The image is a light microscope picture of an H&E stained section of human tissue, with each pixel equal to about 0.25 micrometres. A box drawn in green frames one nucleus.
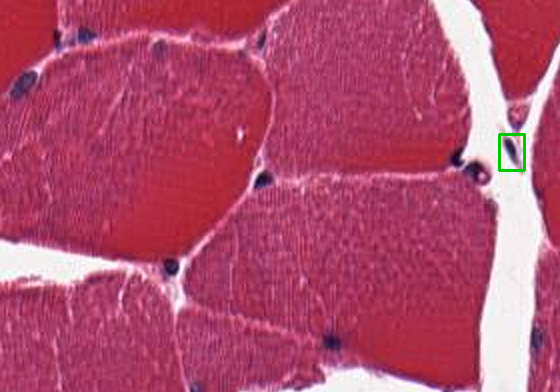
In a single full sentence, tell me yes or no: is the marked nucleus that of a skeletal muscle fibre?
No, the marked nucleus is that of a supporting cell instead of a skeletal muscle fibre.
